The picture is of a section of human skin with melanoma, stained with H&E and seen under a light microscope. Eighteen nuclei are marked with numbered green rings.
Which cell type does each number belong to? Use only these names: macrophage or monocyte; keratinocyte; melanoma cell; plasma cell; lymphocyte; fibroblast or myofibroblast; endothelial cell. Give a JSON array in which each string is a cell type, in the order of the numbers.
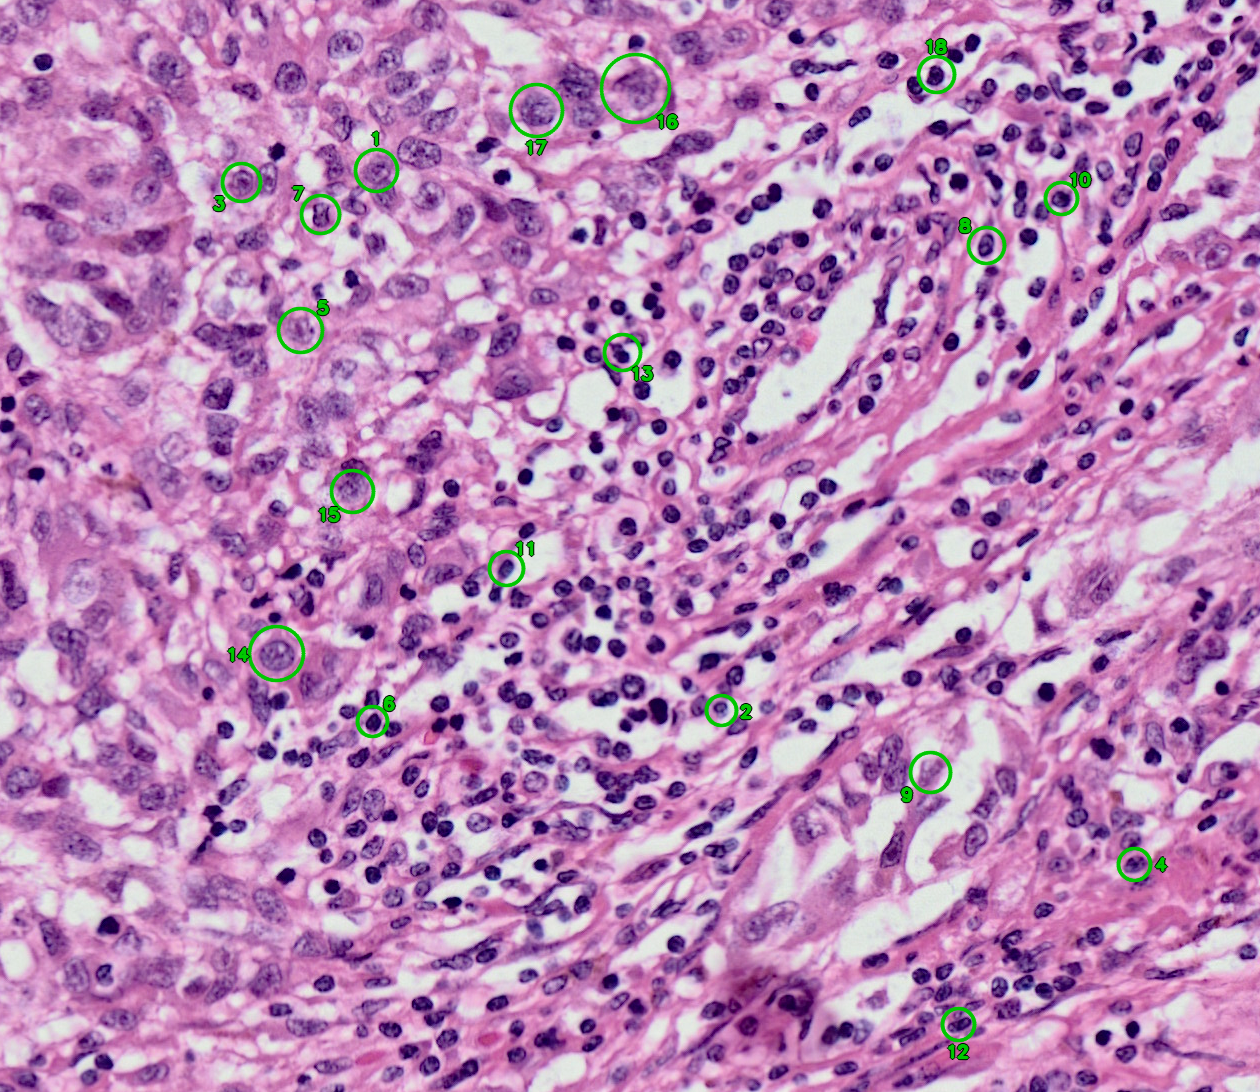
["melanoma cell", "lymphocyte", "melanoma cell", "lymphocyte", "melanoma cell", "lymphocyte", "melanoma cell", "lymphocyte", "melanoma cell", "lymphocyte", "lymphocyte", "lymphocyte", "lymphocyte", "melanoma cell", "melanoma cell", "melanoma cell", "melanoma cell", "lymphocyte"]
